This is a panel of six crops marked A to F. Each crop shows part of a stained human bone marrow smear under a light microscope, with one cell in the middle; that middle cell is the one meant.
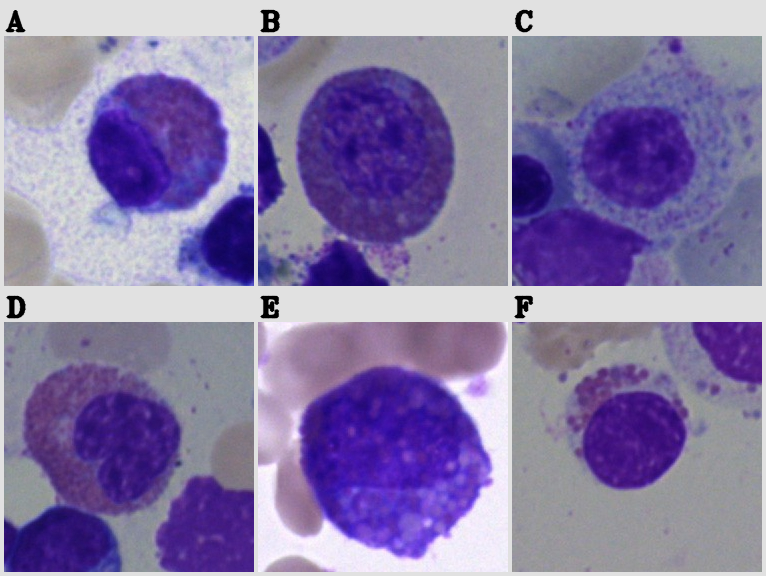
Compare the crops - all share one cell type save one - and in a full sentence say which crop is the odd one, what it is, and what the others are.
In this set the other crops all show eosinophils, and crop C shows a myelocyte.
